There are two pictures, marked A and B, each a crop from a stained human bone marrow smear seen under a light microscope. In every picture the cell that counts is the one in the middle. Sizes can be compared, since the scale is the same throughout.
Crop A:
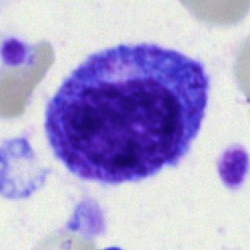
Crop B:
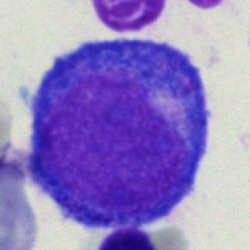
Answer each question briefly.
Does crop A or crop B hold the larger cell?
B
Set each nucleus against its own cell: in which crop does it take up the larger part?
B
